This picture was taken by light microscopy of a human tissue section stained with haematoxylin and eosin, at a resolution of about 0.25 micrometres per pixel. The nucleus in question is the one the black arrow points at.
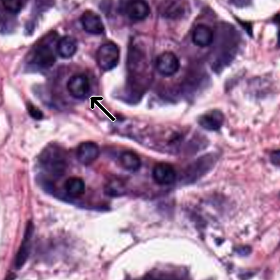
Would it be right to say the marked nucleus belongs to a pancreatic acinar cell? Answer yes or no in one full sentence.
Yes, the marked nucleus is one that belongs to a pancreatic acinar cell.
